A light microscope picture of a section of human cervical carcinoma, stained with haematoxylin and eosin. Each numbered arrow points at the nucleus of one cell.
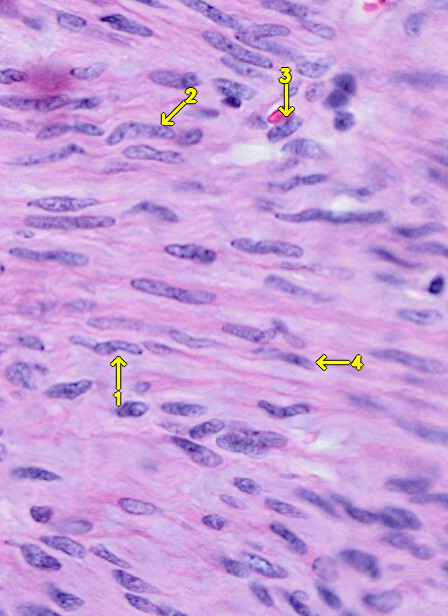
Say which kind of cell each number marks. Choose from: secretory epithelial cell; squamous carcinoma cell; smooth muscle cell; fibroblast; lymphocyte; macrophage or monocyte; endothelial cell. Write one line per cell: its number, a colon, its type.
1: smooth muscle cell
2: smooth muscle cell
3: endothelial cell
4: smooth muscle cell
